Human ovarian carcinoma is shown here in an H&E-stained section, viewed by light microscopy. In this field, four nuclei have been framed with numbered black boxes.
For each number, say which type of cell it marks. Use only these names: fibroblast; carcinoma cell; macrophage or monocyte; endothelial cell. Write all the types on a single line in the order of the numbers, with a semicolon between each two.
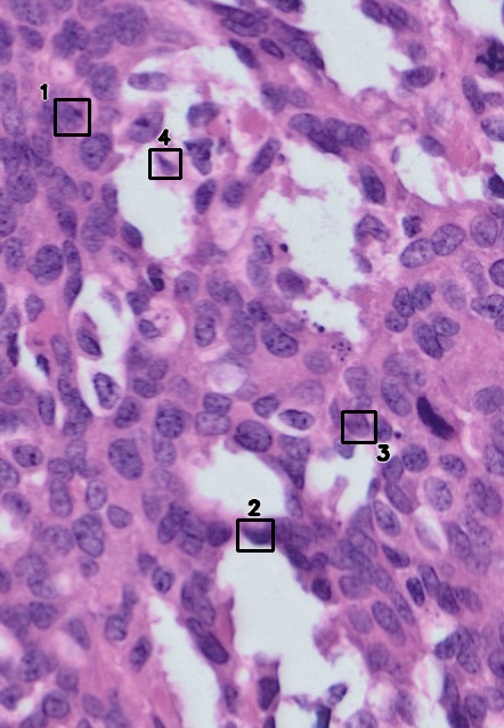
carcinoma cell; carcinoma cell; carcinoma cell; macrophage or monocyte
